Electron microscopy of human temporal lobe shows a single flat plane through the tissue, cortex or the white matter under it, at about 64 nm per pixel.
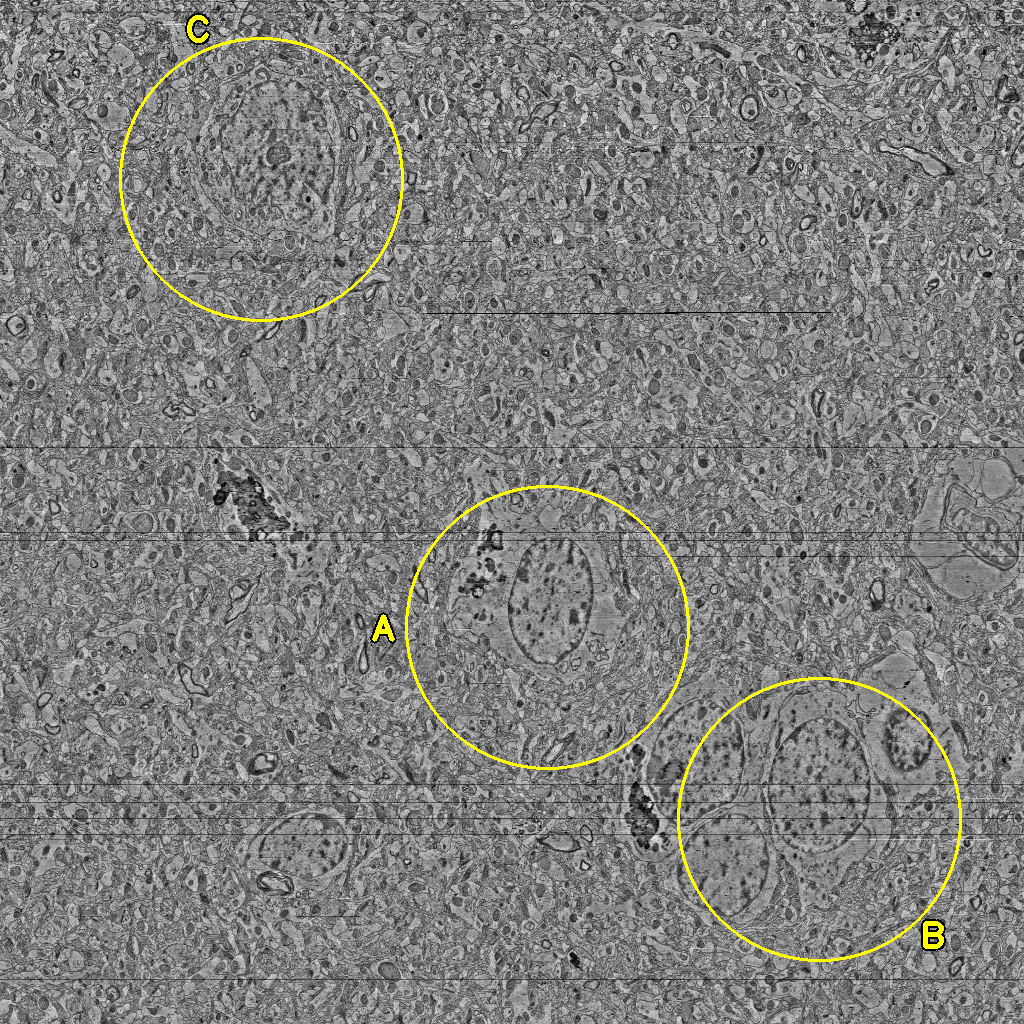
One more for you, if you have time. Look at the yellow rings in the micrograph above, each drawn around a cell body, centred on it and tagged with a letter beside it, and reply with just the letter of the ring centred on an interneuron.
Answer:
C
